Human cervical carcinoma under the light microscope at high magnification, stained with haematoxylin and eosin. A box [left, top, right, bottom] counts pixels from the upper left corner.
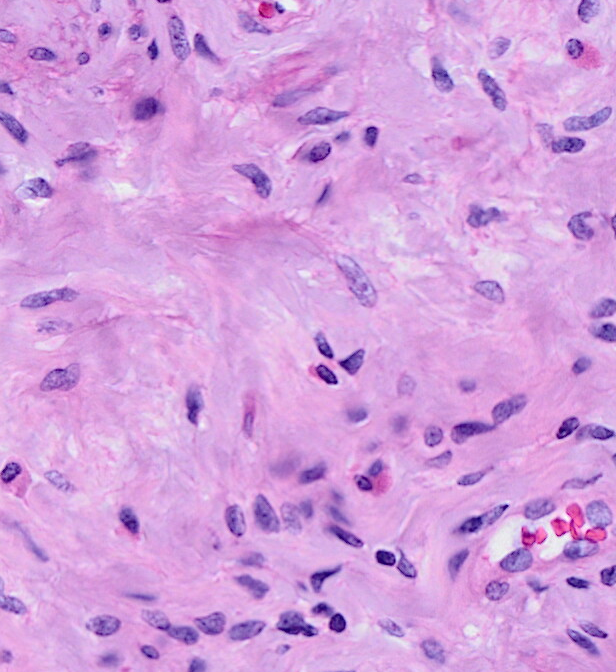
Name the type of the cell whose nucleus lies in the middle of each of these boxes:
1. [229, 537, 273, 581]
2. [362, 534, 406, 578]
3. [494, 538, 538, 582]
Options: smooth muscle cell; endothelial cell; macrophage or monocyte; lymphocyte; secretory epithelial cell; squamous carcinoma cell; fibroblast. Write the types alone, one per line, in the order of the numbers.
fibroblast
lymphocyte
endothelial cell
